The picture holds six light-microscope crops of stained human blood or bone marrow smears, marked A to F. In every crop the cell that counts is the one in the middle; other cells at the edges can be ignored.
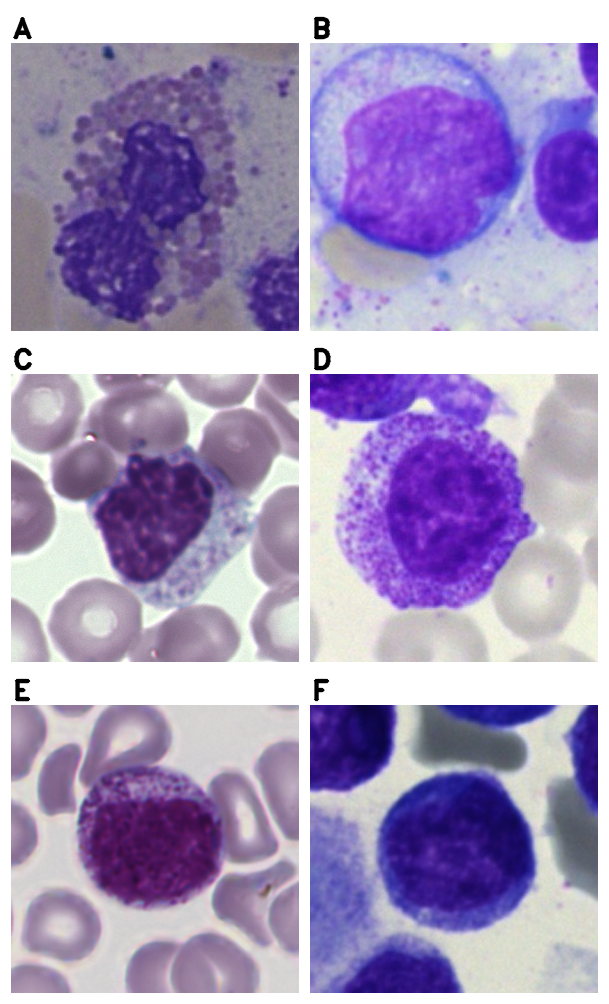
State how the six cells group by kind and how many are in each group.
myelocyte: 3
blast: 2
eosinophil: 1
